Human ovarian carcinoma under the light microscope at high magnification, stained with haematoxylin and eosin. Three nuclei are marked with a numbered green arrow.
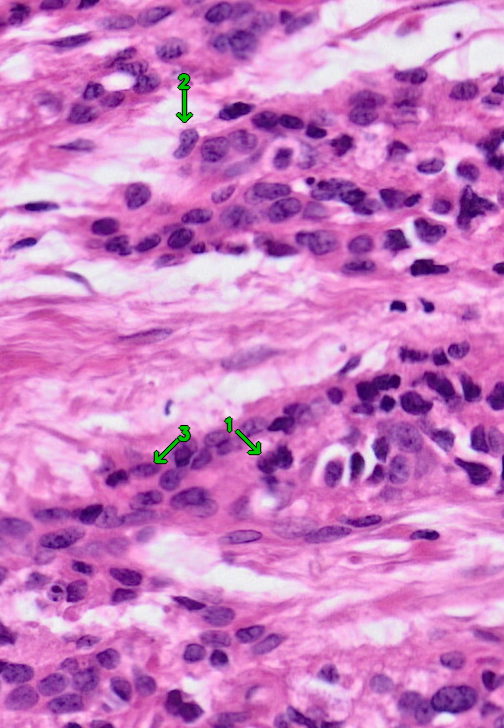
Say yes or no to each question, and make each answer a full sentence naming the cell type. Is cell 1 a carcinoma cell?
Yes, the marked cell with number 1 is a carcinoma cell.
